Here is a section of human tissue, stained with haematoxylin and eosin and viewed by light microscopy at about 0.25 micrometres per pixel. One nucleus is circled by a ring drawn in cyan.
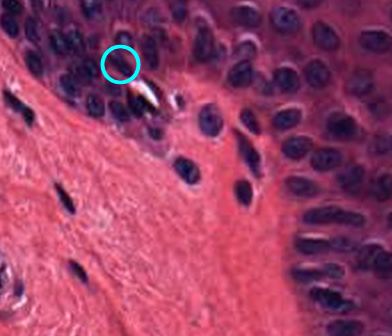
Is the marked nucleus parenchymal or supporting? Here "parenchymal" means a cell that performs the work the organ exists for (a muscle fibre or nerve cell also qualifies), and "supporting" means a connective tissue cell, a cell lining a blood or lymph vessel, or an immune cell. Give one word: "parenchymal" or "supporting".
parenchymal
